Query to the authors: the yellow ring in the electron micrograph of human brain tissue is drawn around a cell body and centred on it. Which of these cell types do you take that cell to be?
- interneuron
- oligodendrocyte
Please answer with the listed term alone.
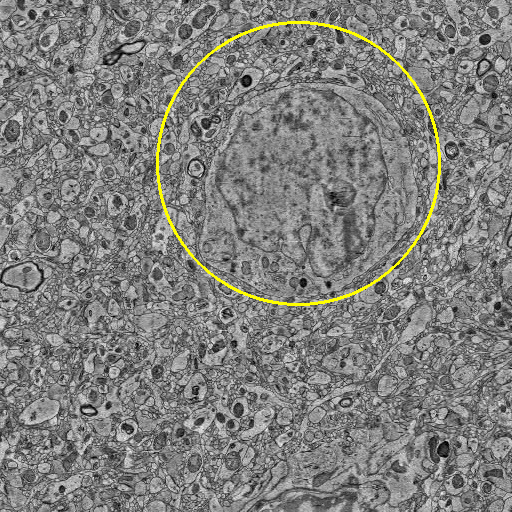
interneuron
